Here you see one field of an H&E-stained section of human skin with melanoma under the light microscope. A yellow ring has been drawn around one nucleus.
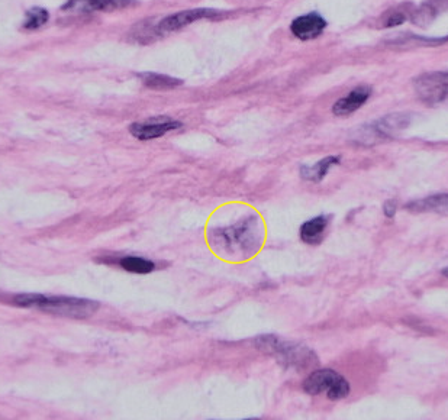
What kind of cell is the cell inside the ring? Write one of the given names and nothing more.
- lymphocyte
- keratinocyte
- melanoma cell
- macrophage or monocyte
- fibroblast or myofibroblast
fibroblast or myofibroblast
